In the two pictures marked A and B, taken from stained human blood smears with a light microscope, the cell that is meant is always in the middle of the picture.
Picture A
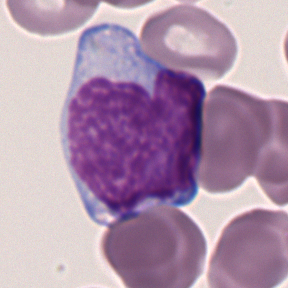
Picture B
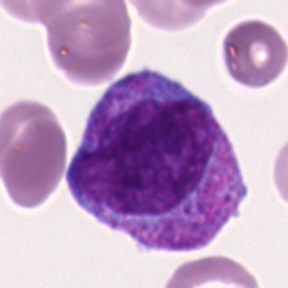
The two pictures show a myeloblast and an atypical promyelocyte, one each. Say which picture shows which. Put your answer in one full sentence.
Picture B shows an atypical promyelocyte, while picture A shows a myeloblast.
